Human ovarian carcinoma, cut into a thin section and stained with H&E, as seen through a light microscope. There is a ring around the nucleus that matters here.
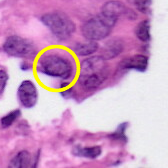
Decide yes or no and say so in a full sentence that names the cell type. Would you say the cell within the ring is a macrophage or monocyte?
No, sorry, but the cell within the ring is a carcinoma cell and not a macrophage or monocyte.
